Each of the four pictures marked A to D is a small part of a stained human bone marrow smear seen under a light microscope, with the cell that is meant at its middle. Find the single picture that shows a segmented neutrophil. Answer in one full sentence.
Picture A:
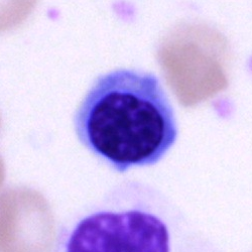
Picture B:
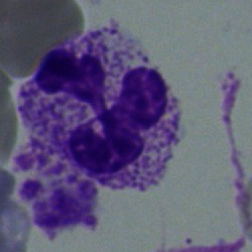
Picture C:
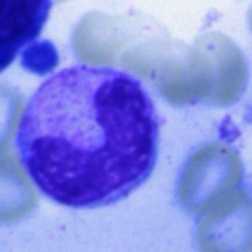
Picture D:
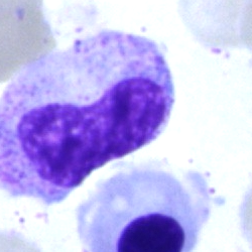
It is picture B that shows the segmented neutrophil.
